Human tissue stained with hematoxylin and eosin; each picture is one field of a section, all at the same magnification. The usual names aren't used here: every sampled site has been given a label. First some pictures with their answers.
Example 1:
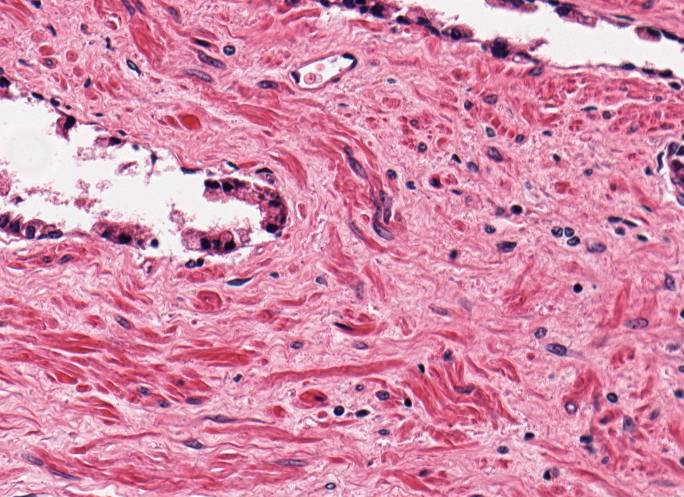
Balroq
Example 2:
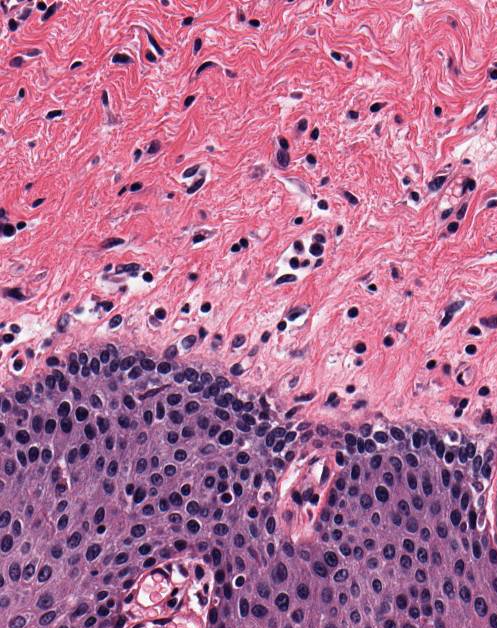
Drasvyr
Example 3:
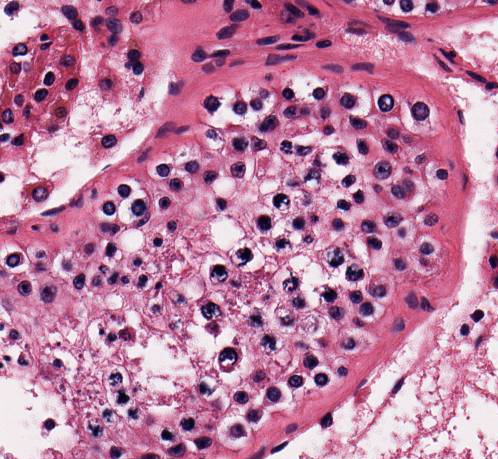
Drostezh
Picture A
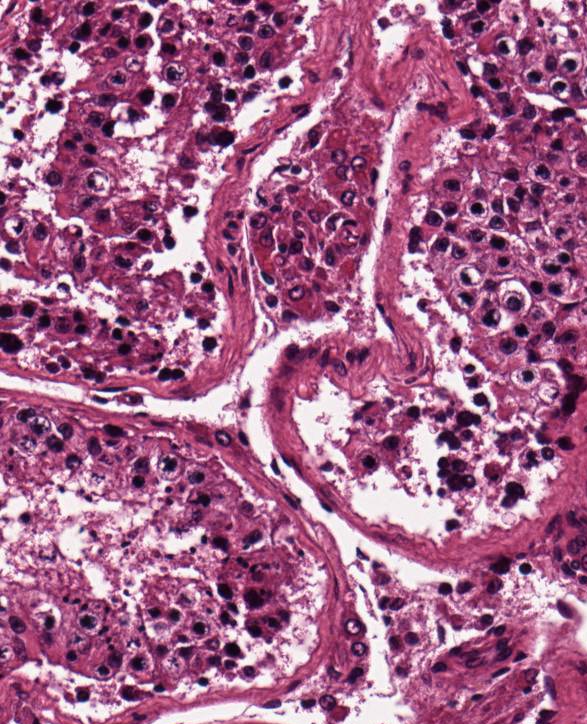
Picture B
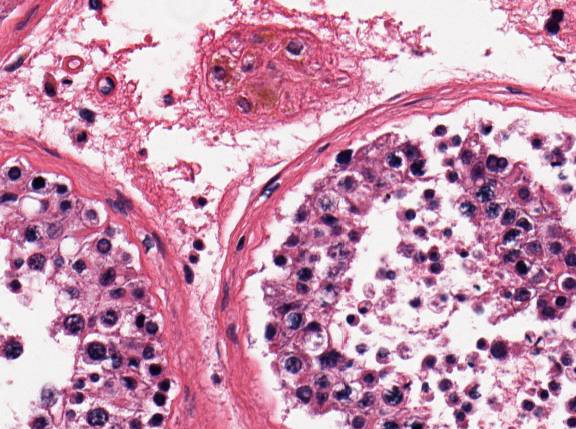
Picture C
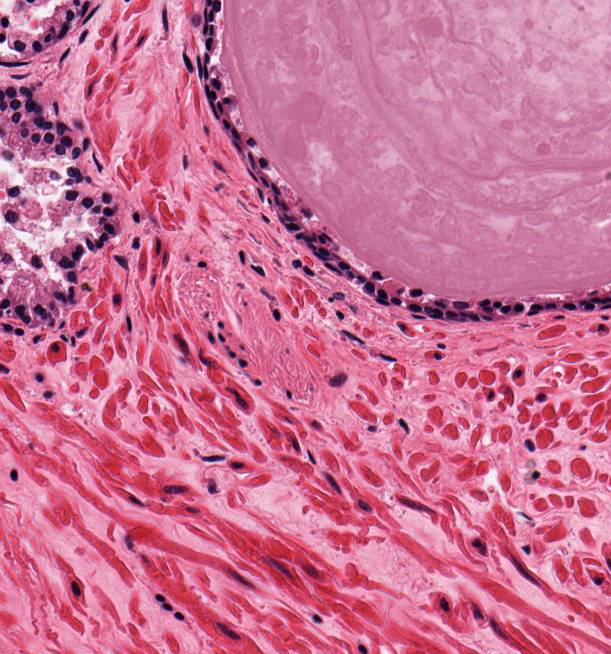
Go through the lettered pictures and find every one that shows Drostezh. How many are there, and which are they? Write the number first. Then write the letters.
2: A, B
